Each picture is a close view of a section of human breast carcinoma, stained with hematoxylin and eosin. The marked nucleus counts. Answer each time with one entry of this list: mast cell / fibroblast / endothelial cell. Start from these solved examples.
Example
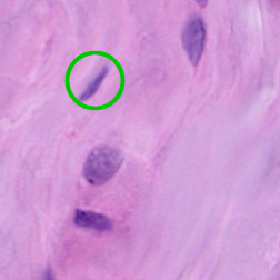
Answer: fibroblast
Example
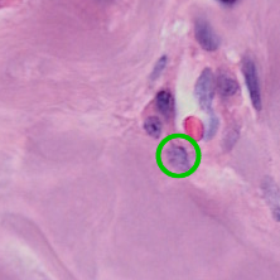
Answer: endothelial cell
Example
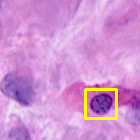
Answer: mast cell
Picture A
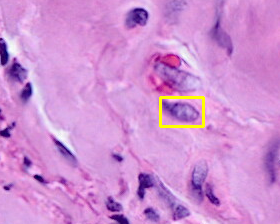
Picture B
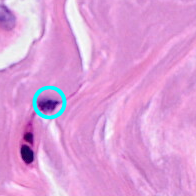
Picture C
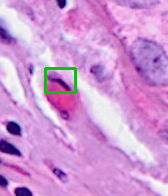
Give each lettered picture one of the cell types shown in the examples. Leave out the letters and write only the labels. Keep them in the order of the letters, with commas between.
endothelial cell, fibroblast, endothelial cell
